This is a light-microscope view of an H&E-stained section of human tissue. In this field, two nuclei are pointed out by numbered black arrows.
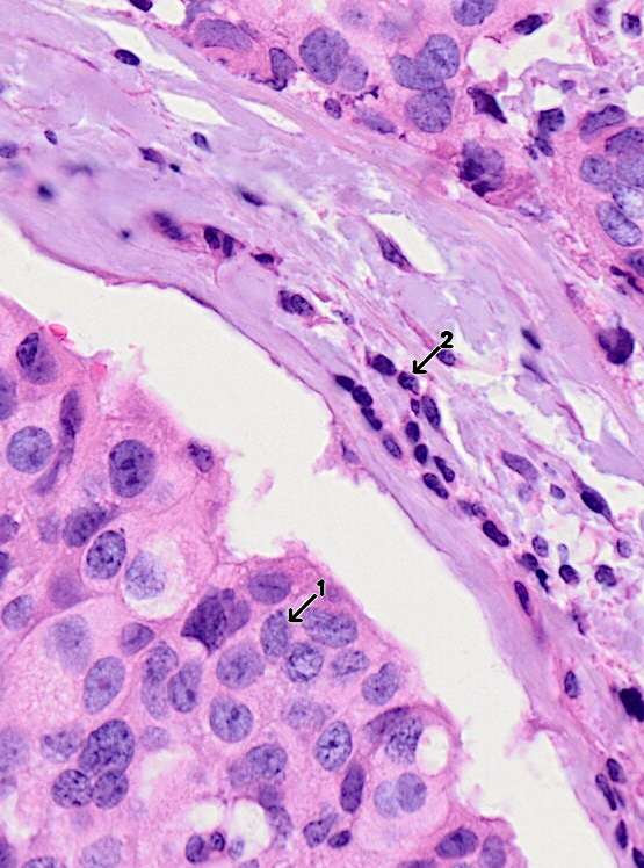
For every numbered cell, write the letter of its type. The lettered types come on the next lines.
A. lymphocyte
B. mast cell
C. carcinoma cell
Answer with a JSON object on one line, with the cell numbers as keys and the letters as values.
{"1": "C", "2": "A"}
